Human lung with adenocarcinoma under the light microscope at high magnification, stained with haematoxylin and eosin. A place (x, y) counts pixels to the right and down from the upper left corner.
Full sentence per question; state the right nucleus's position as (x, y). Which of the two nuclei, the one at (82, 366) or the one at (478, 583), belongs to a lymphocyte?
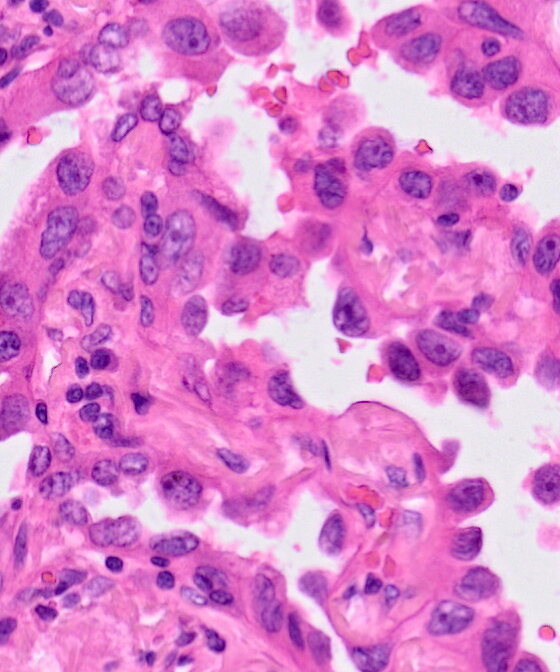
Rather than the other nucleus, the one at (82, 366) belongs to a lymphocyte.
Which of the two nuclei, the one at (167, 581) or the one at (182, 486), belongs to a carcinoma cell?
Of the two nuclei present, the one at (182, 486) is within a carcinoma cell.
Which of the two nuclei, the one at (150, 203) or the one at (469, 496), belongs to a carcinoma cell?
Out of the two, it is the nucleus at (469, 496) that belongs to a carcinoma cell.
